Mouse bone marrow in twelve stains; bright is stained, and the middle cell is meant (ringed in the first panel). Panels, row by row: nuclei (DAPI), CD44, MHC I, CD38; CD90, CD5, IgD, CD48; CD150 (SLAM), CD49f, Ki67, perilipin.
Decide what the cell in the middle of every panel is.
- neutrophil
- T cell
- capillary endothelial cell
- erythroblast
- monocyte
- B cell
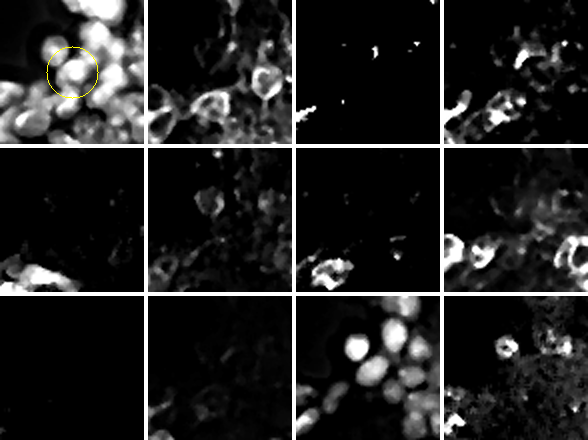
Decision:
erythroblast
